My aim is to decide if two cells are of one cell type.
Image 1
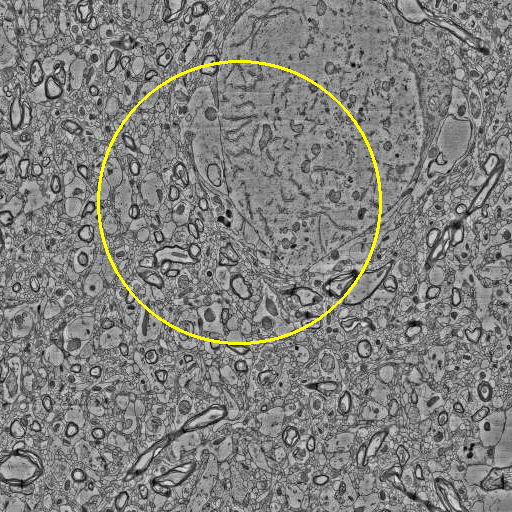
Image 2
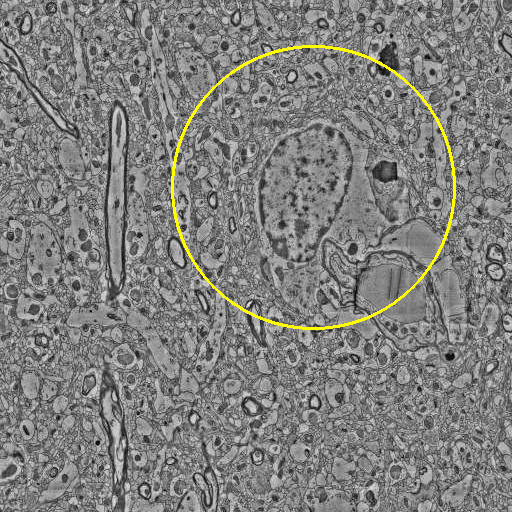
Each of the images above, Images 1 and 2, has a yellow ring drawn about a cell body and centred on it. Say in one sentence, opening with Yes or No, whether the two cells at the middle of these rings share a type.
Yes, in Images 1 and 2 the cells at the middle of the rings share one type.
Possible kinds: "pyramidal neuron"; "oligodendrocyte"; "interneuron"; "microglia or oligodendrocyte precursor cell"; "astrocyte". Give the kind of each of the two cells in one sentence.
Each of the two pictures has a microglial cell or oligodendrocyte precursor cell at the ring centre.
